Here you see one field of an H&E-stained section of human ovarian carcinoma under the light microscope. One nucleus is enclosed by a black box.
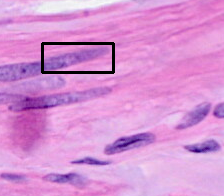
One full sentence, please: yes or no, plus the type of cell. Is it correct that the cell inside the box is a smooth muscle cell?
Yes, it is as a smooth muscle cell that the cell inside the box is classified.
